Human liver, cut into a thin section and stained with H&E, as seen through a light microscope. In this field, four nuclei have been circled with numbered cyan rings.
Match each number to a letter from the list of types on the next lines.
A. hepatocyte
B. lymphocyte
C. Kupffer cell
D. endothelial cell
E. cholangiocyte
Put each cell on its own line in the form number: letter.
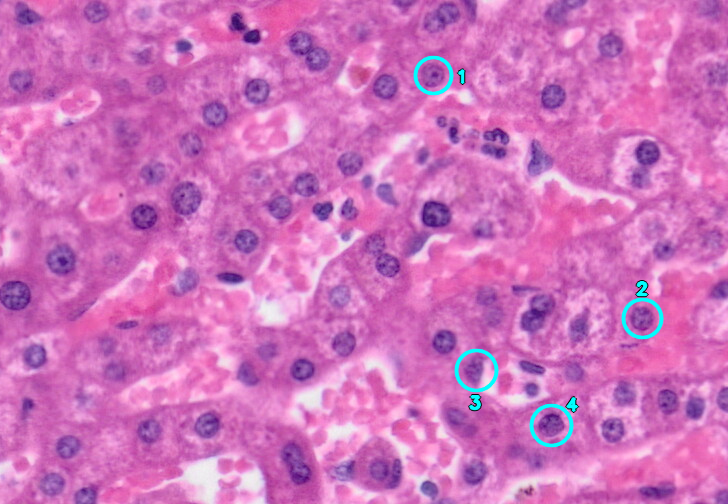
1: A
2: A
3: D
4: A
